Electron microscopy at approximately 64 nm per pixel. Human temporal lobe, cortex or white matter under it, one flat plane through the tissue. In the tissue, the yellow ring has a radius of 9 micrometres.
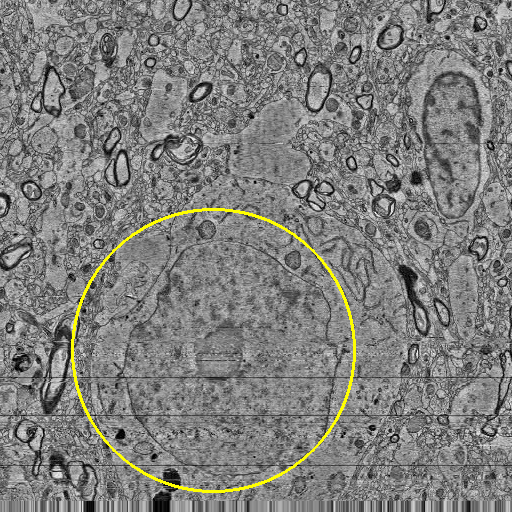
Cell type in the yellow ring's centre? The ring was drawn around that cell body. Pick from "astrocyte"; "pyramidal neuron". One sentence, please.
The ringed cell body is that of a pyramidal neuron.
